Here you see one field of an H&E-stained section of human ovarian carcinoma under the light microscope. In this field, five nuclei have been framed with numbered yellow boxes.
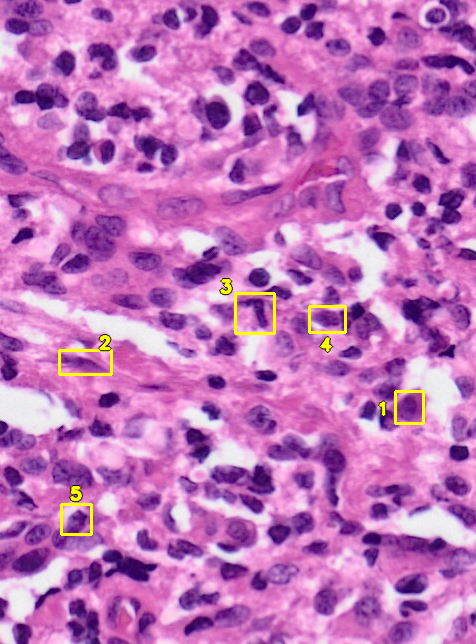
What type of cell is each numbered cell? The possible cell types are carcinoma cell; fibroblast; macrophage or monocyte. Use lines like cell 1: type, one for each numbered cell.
cell 1: carcinoma cell
cell 2: fibroblast
cell 3: macrophage or monocyte
cell 4: carcinoma cell
cell 5: carcinoma cell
